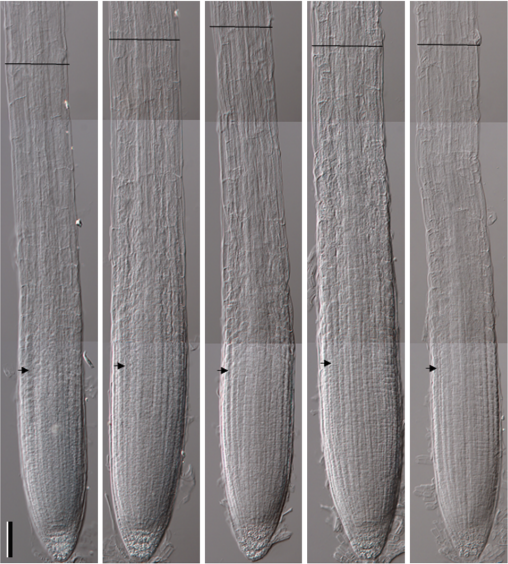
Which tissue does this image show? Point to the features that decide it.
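Each of the five strips is a cylindrical organ that tapers to a rounded end at the bottom. A cap of cells sits at the rounded end. Longitudinal files of cells run along the organ's length. The answer: root tips.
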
